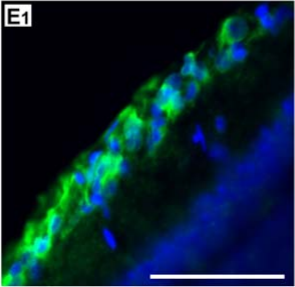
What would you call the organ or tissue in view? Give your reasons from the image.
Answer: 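Deeper layers of blue nuclei lie parallel to that surface. So: retina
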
